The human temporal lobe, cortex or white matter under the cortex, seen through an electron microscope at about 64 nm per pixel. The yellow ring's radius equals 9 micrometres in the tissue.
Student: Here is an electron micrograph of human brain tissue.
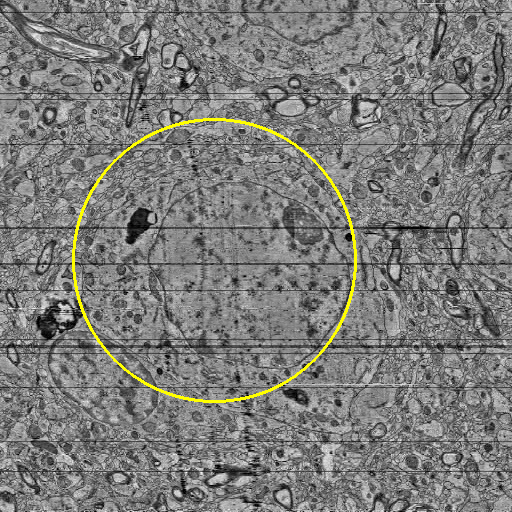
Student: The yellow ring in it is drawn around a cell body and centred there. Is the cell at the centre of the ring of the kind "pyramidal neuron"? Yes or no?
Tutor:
yes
